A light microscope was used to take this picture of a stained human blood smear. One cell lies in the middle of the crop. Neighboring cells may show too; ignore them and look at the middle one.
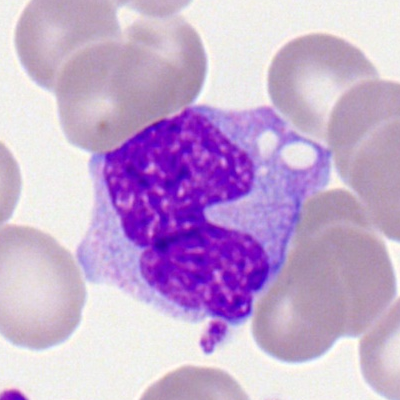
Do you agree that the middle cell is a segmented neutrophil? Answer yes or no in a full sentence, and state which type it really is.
No, the centrally placed cell is a monocyte, not a segmented neutrophil.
